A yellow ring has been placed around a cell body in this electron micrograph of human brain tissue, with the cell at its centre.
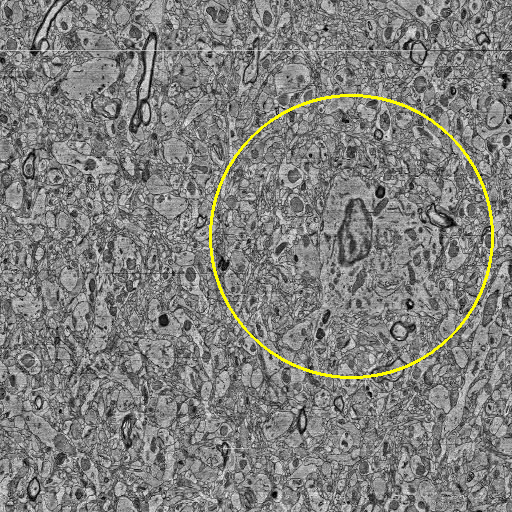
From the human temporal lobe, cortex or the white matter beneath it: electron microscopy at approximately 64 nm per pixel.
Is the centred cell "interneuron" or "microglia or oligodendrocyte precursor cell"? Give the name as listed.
microglia or oligodendrocyte precursor cell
